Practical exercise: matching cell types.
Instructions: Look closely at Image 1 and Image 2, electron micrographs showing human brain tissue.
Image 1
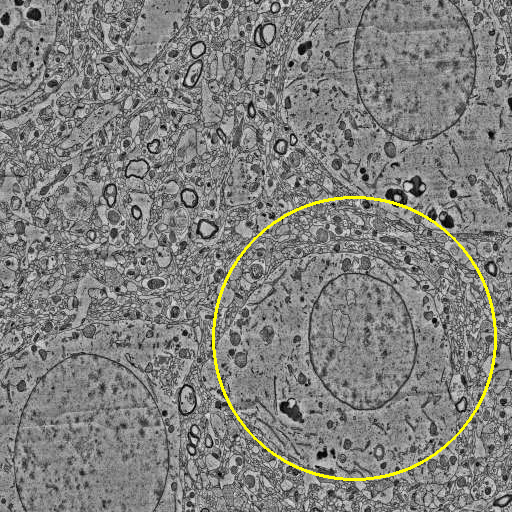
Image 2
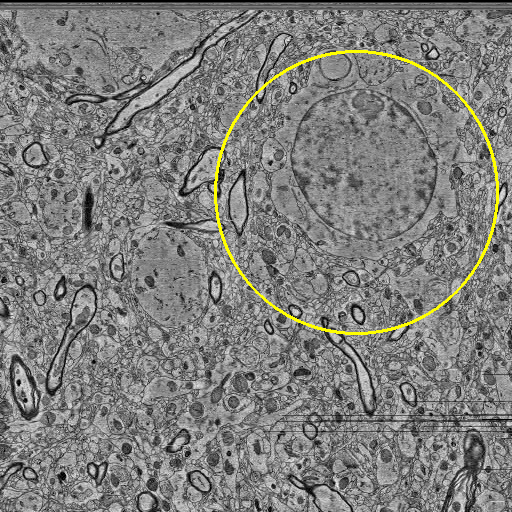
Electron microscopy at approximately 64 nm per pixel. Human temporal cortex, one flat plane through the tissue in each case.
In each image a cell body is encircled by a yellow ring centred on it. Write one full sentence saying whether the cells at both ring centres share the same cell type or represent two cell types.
Across Image 1 and Image 2, the cells at the ring centres represent two cell types.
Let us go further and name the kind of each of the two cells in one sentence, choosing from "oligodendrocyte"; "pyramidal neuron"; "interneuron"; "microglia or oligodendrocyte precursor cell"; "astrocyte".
The ring of the first picture is on a pyramidal neuron, the ring of the second on an astrocyte.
